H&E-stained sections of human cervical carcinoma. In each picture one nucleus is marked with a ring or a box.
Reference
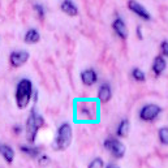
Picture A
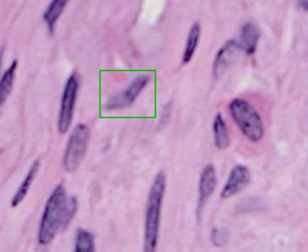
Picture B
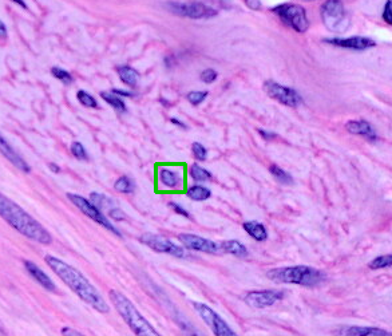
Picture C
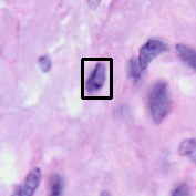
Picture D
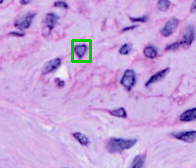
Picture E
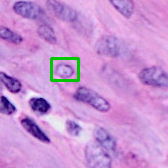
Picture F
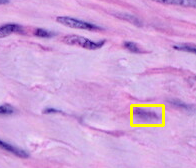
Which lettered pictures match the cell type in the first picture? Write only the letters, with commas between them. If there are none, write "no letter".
B, D, E, F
